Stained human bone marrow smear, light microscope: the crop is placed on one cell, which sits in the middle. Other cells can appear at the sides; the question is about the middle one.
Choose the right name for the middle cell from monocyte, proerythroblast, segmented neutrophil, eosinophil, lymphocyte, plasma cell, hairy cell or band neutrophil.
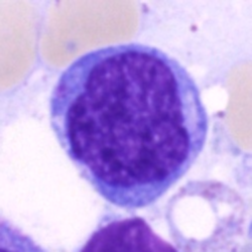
monocyte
